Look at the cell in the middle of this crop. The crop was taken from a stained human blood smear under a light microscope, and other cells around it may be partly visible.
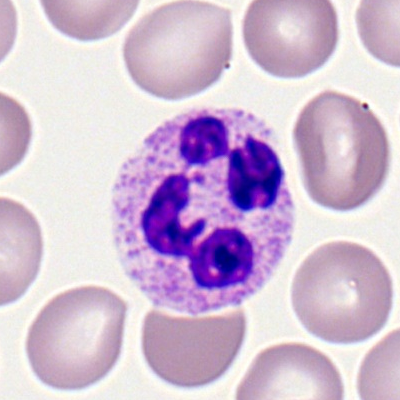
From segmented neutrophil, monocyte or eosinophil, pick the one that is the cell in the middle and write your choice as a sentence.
Looking at the middle of the crop, the cell there is a segmented neutrophil.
